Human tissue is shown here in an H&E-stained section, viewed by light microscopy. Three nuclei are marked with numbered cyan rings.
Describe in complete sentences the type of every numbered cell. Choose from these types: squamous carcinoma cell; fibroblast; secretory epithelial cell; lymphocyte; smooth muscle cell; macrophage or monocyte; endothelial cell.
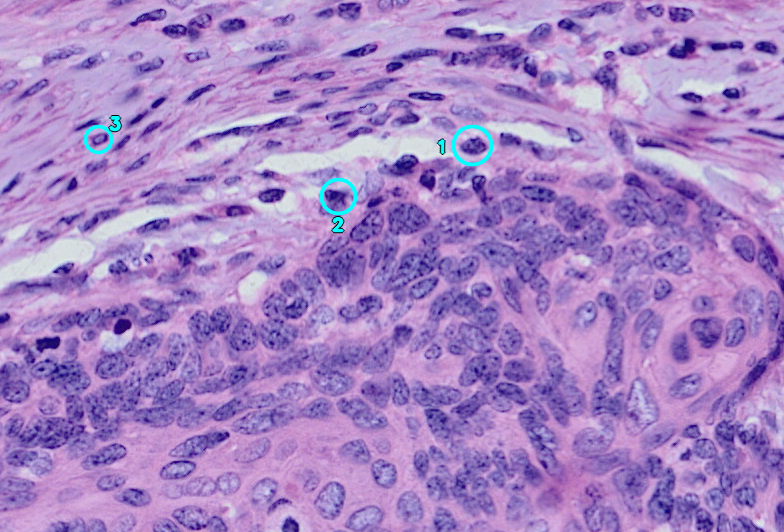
Cell 1 is a lymphocyte, cell 2 is a lymphocyte and cell 3 is a smooth muscle cell.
